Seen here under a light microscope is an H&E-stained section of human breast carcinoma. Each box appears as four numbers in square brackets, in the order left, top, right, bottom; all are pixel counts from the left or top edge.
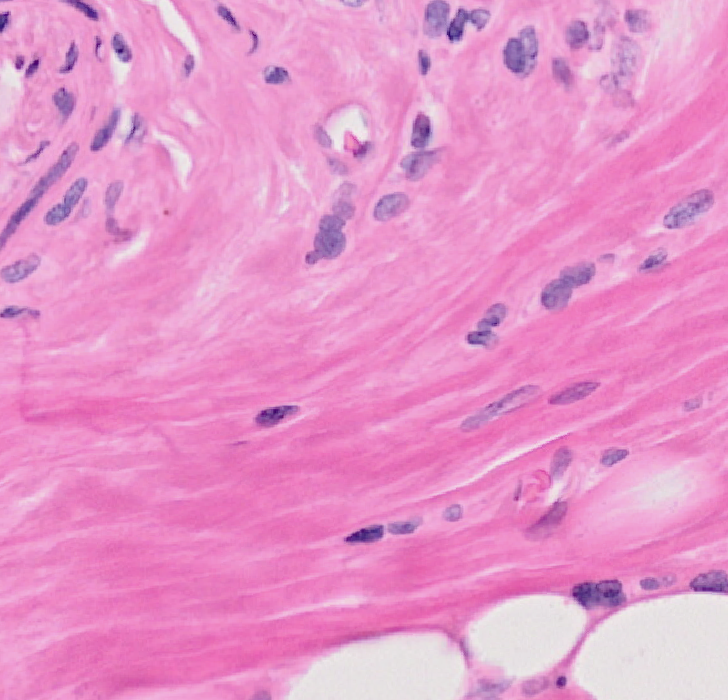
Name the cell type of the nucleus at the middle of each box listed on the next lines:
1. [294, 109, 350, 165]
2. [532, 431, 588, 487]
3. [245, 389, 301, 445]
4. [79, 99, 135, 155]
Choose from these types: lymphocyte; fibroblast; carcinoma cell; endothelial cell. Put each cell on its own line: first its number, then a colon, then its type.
1: endothelial cell
2: endothelial cell
3: lymphocyte
4: endothelial cell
